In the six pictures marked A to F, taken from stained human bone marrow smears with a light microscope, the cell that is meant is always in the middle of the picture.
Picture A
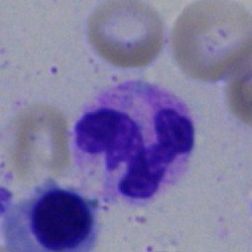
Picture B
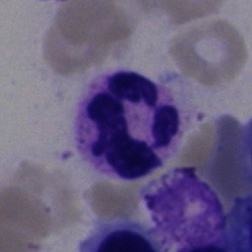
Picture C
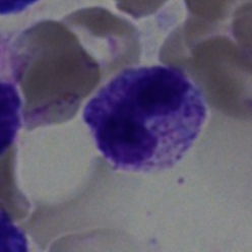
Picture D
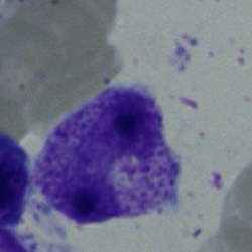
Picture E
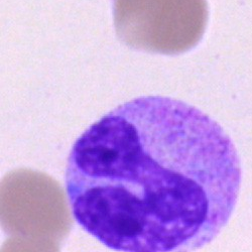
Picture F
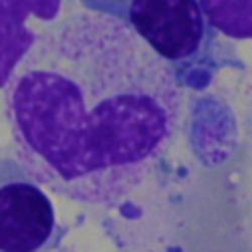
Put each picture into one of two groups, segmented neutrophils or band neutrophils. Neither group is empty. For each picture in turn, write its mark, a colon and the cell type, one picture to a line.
A: segmented neutrophil
B: segmented neutrophil
C: band neutrophil
D: band neutrophil
E: band neutrophil
F: band neutrophil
